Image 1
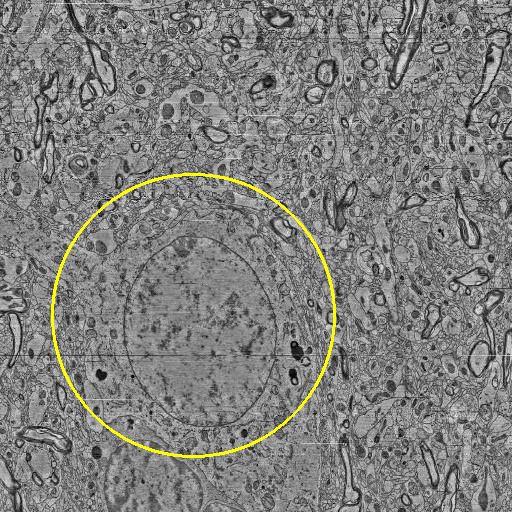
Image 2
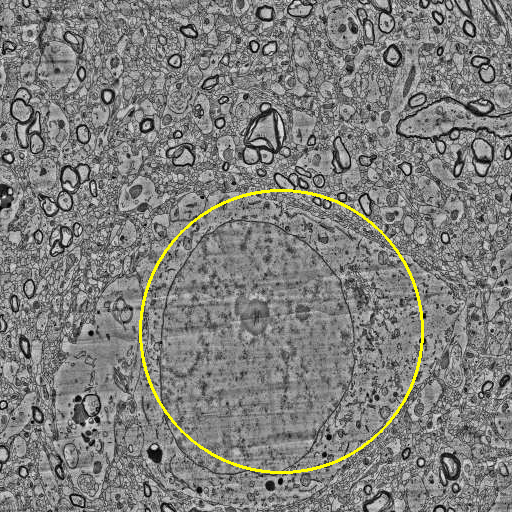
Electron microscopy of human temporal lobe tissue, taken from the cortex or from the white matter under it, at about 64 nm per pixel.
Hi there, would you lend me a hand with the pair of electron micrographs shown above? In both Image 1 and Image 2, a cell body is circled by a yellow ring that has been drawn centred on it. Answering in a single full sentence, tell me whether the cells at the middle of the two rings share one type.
Yes, the ringed cells in Image 1 and Image 2 share one type.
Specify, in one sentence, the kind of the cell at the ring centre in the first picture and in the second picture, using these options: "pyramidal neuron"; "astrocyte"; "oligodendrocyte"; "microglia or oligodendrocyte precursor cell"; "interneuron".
Each of the two rings is centred on a pyramidal neuron.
